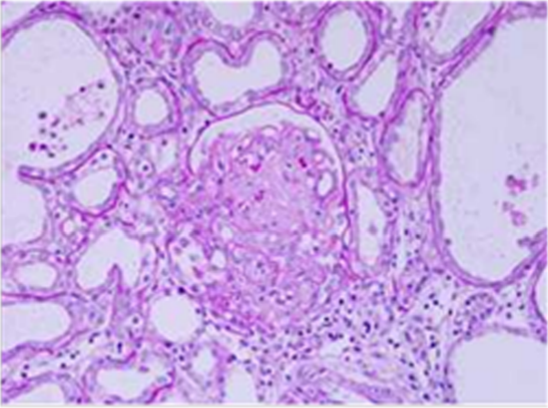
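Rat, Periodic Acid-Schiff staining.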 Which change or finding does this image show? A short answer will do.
Enlarged tubular cavity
